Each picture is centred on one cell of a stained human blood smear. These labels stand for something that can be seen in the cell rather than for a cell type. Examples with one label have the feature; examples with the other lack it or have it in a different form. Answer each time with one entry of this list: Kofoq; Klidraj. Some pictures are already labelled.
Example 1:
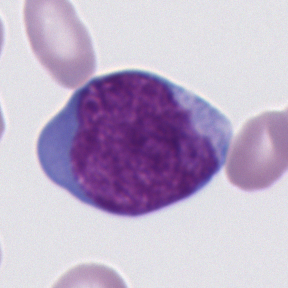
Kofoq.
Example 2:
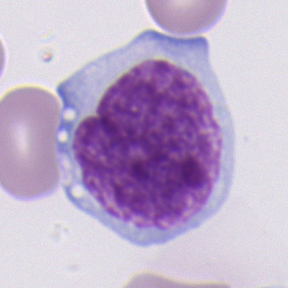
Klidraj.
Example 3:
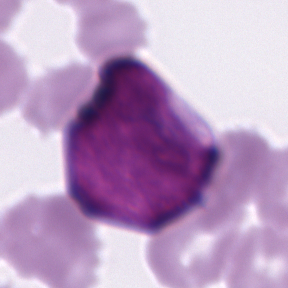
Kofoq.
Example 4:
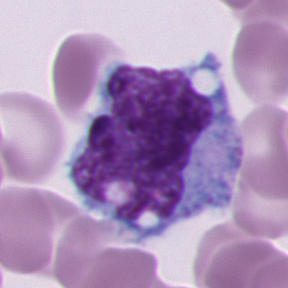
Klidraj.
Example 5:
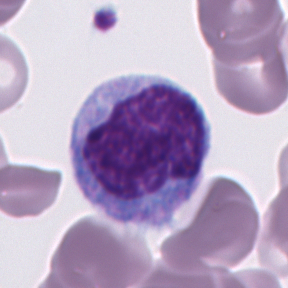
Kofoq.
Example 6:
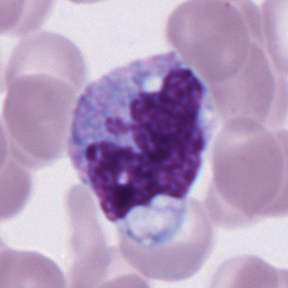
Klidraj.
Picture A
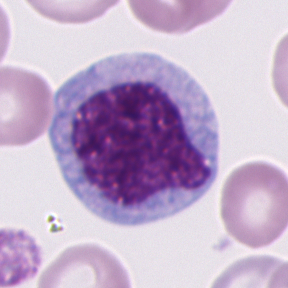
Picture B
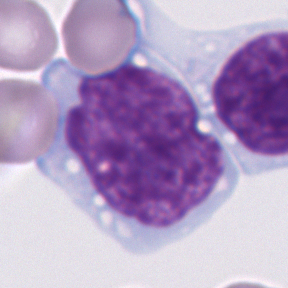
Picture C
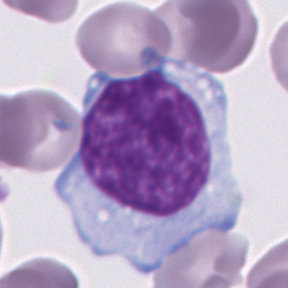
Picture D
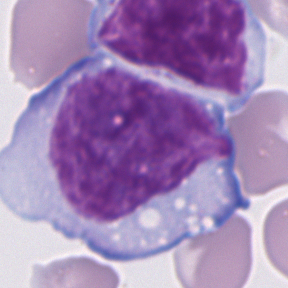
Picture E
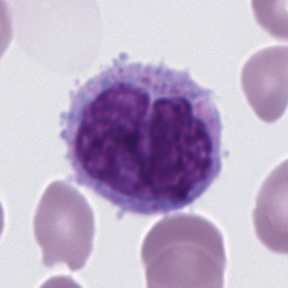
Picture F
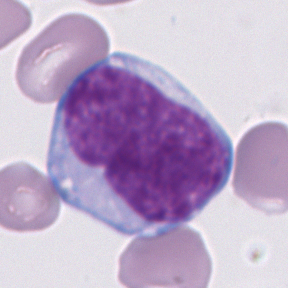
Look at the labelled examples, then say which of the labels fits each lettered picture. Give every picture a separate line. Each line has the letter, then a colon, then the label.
A: Kofoq.
B: Klidraj.
C: Klidraj.
D: Klidraj.
E: Kofoq.
F: Klidraj.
